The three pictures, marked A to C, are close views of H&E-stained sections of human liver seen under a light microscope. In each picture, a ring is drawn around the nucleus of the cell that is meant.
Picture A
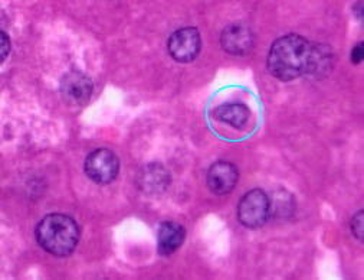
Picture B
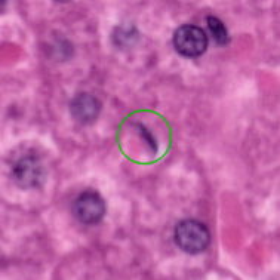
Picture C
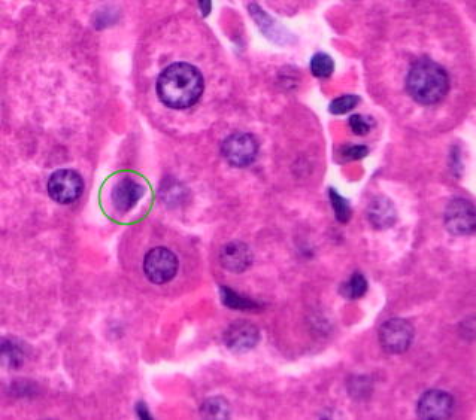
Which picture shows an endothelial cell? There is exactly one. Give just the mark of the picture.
B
